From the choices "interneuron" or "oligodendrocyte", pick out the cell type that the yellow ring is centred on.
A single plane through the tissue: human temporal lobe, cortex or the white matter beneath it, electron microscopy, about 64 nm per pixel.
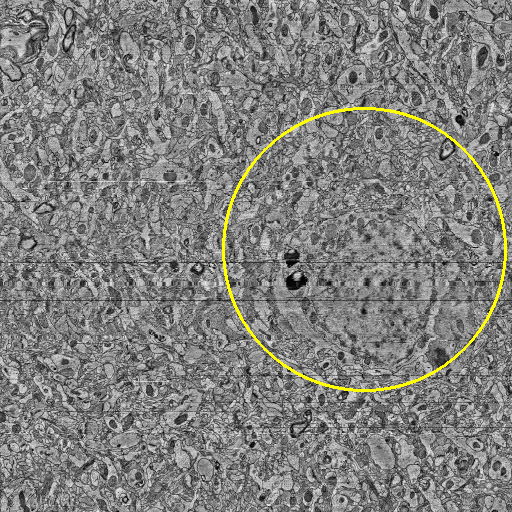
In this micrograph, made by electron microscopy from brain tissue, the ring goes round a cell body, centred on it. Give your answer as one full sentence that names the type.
The yellow ring is centred on an interneuron, whose cell body it encircles in the picture.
